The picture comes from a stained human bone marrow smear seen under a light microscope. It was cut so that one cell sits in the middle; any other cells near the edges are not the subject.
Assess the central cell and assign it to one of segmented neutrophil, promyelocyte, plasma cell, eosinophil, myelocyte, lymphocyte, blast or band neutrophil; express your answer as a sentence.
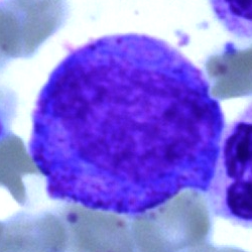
Among the cells in view, the one in the middle is a promyelocyte.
